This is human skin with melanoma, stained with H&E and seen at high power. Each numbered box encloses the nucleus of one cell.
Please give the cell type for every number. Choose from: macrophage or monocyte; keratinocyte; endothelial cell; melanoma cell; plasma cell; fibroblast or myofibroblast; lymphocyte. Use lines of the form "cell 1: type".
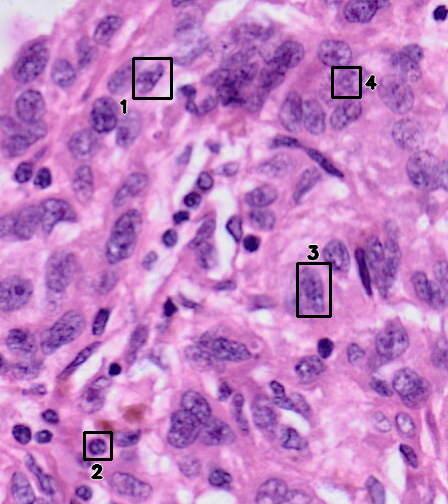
cell 1: melanoma cell
cell 2: lymphocyte
cell 3: melanoma cell
cell 4: melanoma cell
